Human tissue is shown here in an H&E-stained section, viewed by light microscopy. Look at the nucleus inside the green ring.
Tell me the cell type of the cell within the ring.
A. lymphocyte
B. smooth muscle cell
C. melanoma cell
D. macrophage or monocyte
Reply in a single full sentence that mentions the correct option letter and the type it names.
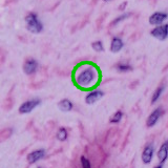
Option B gives the correct identity of the cell within the ring, which is a smooth muscle cell.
